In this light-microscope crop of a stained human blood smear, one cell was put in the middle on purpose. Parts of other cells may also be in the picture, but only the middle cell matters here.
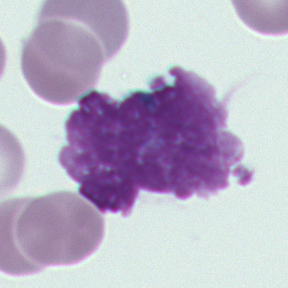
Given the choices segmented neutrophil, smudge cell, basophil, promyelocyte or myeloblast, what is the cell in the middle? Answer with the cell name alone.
smudge cell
